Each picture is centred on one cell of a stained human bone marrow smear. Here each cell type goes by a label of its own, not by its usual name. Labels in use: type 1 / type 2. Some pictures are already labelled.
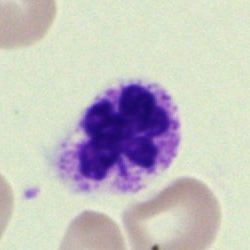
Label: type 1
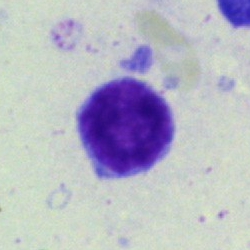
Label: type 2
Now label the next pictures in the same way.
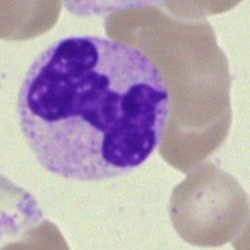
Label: type 1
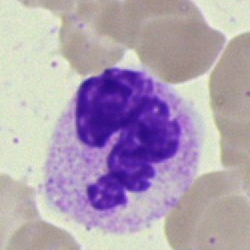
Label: type 1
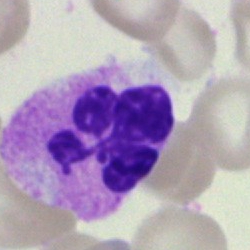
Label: type 1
